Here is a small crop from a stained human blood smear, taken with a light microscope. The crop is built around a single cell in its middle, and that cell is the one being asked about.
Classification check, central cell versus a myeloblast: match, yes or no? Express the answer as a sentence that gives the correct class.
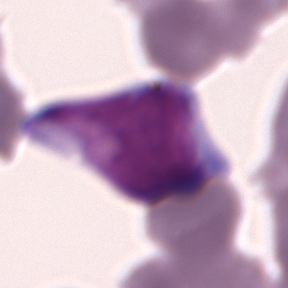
Yes, the cell in the middle is recognised as a myeloblast.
